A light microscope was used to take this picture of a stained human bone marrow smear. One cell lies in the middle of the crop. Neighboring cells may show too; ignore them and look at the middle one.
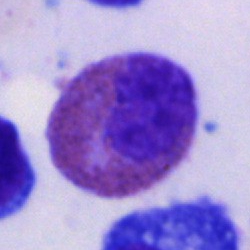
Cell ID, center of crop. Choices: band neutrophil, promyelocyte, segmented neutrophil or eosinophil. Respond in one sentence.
The centered cell in this crop is an eosinophil.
